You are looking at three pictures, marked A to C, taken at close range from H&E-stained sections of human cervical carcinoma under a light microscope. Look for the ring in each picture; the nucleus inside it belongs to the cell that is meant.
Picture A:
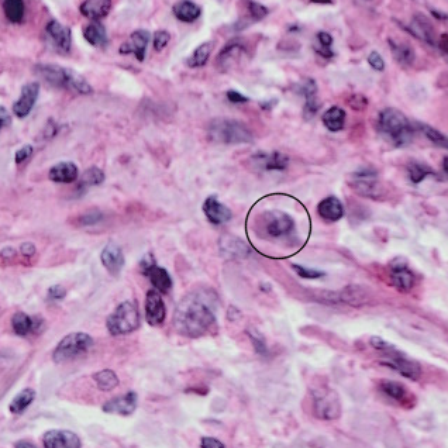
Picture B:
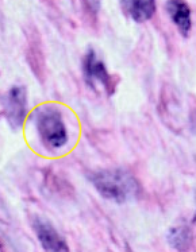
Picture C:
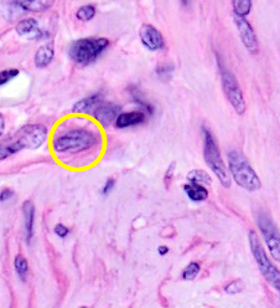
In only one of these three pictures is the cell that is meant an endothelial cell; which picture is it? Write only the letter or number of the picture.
C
